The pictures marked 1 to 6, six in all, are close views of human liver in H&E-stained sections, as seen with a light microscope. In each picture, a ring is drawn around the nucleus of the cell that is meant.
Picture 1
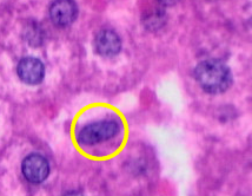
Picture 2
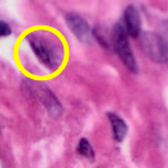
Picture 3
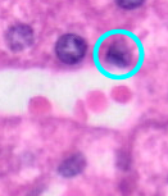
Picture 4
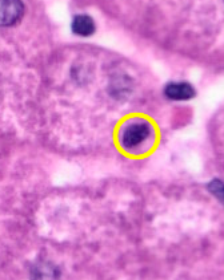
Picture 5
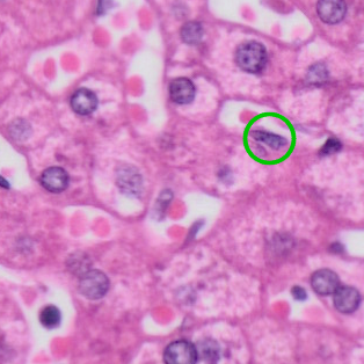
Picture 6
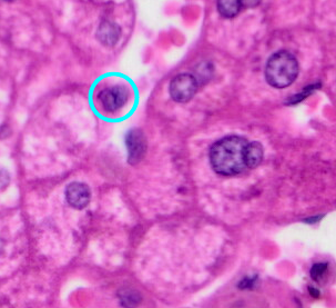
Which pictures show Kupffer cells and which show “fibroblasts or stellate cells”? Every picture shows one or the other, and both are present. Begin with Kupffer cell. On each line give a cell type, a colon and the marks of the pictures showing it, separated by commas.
Kupffer cell: 1, 5, 6
fibroblast or stellate cell: 2, 3, 4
